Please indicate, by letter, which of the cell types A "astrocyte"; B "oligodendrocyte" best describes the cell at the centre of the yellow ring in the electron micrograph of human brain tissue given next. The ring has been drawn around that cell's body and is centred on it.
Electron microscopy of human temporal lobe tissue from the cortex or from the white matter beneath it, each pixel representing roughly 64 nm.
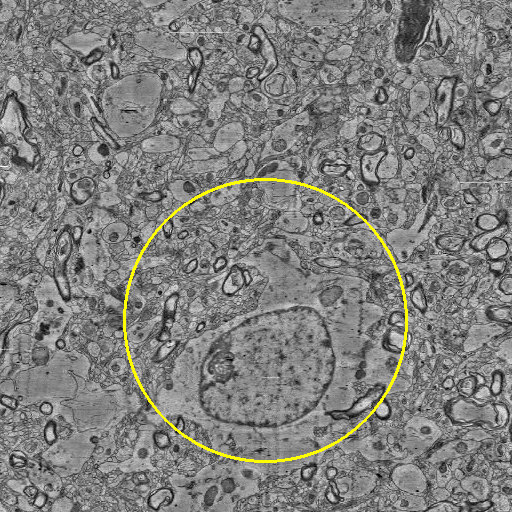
A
